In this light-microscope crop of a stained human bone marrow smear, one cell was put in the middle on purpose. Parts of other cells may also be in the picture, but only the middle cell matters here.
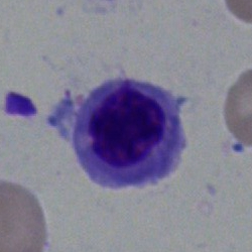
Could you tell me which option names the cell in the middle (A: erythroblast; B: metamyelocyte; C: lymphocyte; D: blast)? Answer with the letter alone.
A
